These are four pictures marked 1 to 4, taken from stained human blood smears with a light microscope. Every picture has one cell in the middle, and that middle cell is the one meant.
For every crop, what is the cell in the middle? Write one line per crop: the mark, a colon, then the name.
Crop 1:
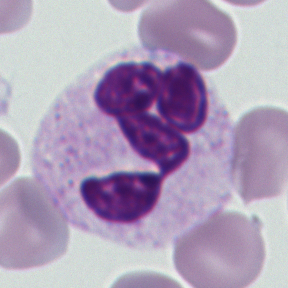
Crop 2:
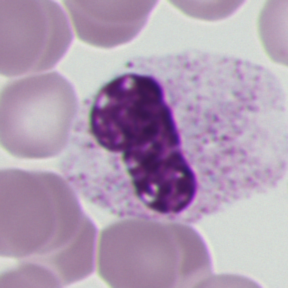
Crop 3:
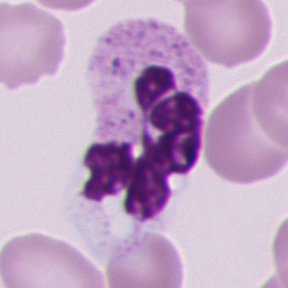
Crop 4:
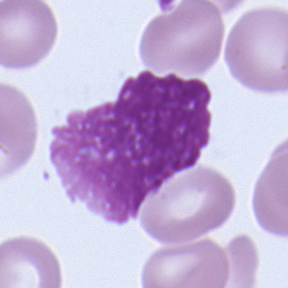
1: neutrophil
2: neutrophil
3: neutrophil
4: smudge cell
